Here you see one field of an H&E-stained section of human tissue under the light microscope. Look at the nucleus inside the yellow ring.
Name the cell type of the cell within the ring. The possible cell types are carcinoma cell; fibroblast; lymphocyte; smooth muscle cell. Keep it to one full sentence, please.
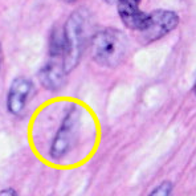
As classified here, the cell within the ring is a fibroblast.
